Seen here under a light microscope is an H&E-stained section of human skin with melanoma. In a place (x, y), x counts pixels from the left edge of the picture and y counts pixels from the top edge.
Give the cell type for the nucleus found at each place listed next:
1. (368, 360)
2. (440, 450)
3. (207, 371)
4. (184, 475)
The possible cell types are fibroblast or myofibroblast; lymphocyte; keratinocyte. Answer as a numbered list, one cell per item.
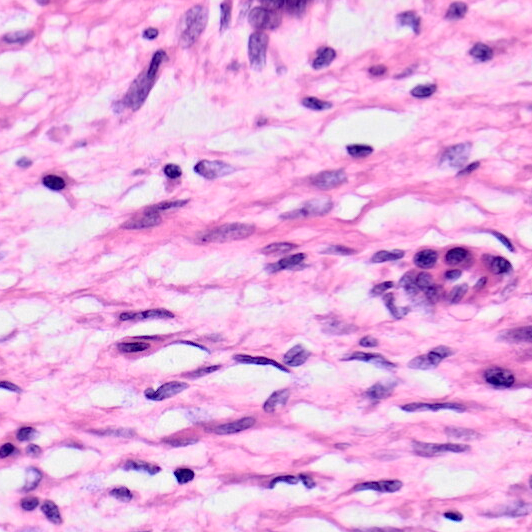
1. fibroblast or myofibroblast
2. fibroblast or myofibroblast
3. fibroblast or myofibroblast
4. lymphocyte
